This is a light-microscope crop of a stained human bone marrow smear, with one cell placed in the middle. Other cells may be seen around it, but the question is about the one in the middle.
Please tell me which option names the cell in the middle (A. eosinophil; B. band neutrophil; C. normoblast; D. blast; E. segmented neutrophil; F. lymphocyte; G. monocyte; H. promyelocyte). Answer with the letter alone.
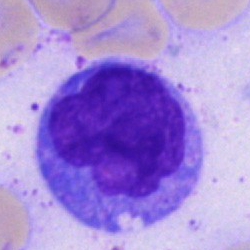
G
